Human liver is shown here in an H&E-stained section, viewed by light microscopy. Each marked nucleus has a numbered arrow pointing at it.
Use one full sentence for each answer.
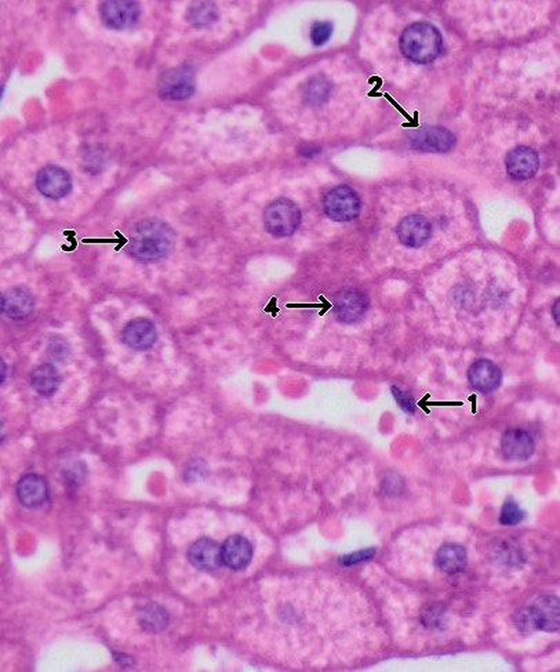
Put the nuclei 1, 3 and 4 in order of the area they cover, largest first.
By area, largest first, they run 3, 4, 1.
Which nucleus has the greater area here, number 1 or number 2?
Of the two, number 2 is bigger and takes up about 2.5 times the area of number 1.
